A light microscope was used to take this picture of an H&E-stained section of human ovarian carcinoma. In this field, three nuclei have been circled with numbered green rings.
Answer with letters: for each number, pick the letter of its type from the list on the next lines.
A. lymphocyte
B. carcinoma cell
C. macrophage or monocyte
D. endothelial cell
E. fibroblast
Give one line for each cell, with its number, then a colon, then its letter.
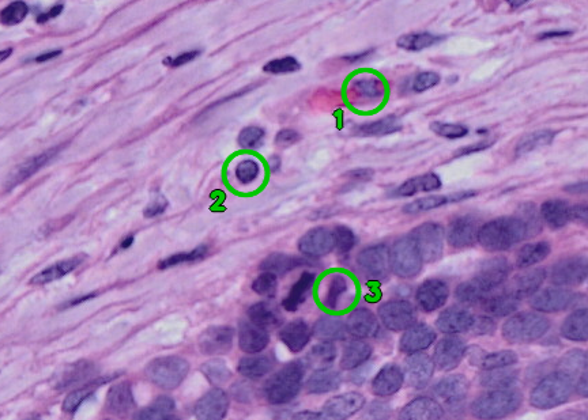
1: D
2: A
3: B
